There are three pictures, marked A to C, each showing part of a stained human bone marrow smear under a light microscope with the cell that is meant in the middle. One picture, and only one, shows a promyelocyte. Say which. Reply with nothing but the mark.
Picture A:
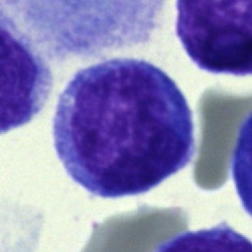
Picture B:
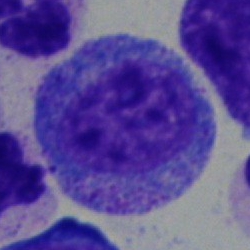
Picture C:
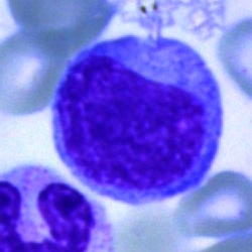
B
